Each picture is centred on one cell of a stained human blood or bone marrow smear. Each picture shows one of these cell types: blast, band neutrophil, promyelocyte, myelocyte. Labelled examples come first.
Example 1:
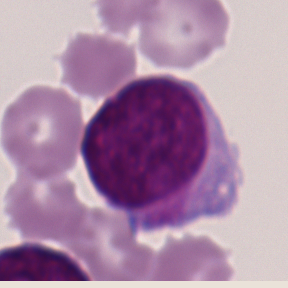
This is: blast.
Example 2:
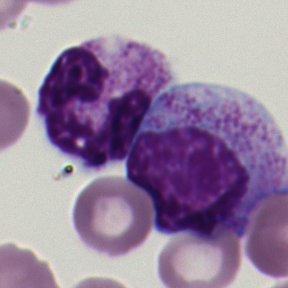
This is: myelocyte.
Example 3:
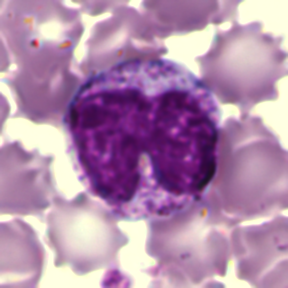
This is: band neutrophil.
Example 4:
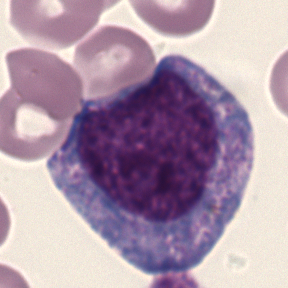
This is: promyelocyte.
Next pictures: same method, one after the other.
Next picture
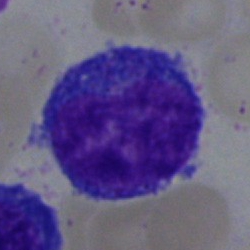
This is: promyelocyte.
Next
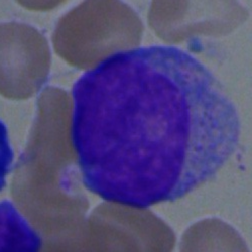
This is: blast.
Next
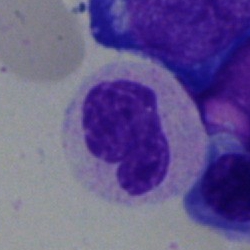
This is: band neutrophil.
